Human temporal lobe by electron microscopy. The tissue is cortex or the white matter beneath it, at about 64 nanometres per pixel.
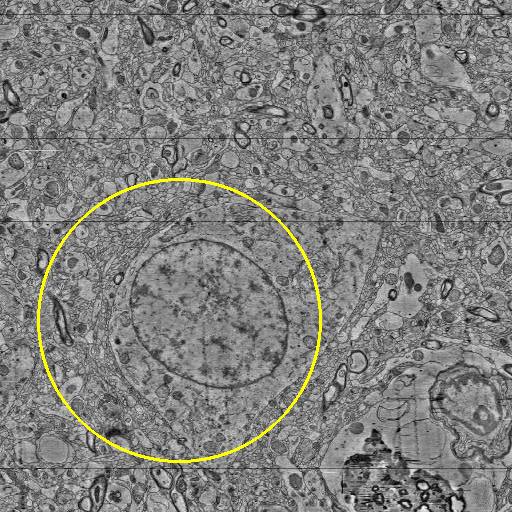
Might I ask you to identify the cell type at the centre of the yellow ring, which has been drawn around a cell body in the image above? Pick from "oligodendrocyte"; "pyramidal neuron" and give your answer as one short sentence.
The centre of the ring falls on a pyramidal neuron.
